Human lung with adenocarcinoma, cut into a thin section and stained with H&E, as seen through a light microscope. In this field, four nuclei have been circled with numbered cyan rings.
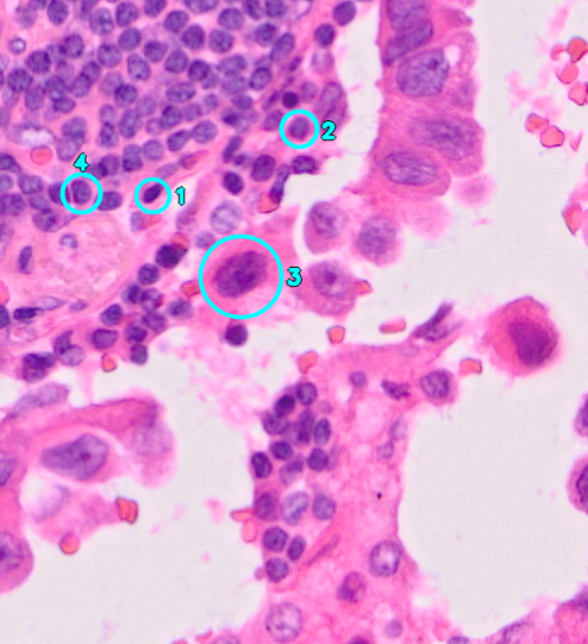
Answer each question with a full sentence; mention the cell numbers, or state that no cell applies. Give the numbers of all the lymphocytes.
Within this tissue, the cells numbered 1, 2 and 4 are lymphocytes.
